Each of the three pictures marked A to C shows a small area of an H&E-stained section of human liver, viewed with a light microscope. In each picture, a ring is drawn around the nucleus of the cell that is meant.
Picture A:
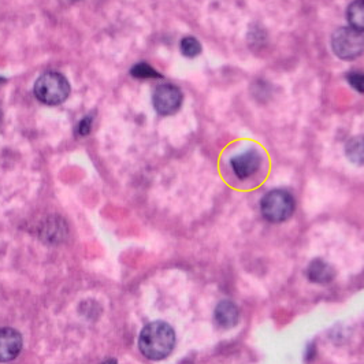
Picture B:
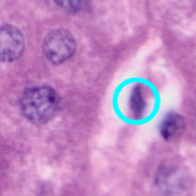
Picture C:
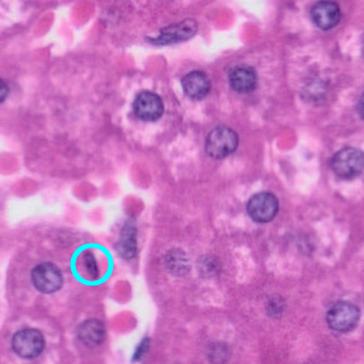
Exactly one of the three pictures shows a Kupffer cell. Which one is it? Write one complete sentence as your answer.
The picture with the Kupffer cell is B.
